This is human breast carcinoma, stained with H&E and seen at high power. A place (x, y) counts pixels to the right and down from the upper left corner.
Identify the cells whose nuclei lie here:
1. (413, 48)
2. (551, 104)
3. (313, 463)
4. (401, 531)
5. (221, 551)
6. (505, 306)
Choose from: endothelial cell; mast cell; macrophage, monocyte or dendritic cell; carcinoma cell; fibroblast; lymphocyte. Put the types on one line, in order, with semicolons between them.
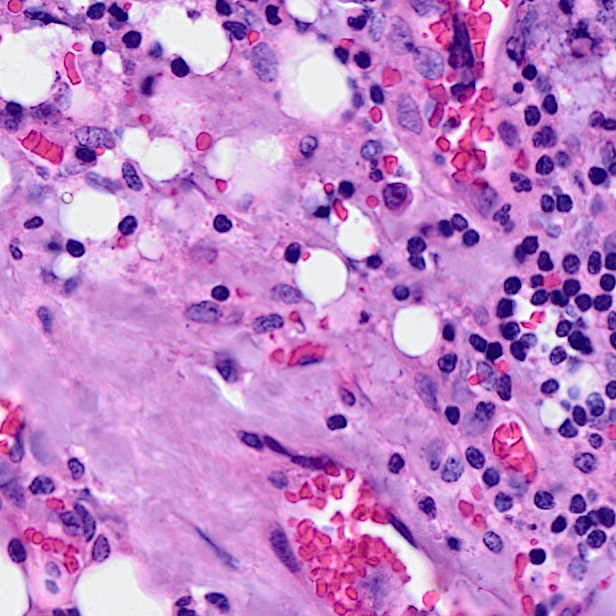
endothelial cell; lymphocyte; endothelial cell; endothelial cell; fibroblast; lymphocyte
